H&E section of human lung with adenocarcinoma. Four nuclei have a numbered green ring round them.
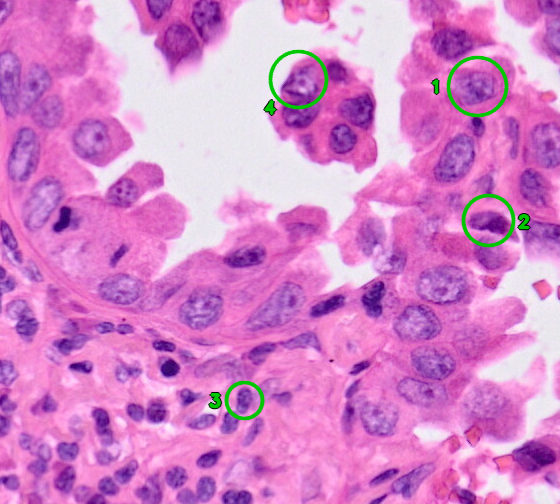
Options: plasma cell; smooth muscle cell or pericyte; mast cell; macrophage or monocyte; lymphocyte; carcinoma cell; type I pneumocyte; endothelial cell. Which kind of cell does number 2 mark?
carcinoma cell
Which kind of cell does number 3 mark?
lymphocyte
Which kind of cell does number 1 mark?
carcinoma cell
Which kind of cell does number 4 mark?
carcinoma cell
